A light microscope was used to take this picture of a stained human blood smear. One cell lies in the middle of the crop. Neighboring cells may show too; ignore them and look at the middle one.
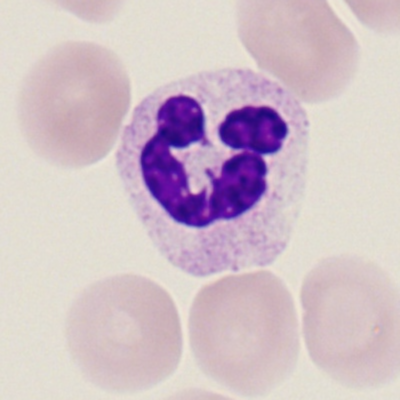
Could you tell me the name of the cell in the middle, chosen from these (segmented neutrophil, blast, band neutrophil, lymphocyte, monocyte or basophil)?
segmented neutrophil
